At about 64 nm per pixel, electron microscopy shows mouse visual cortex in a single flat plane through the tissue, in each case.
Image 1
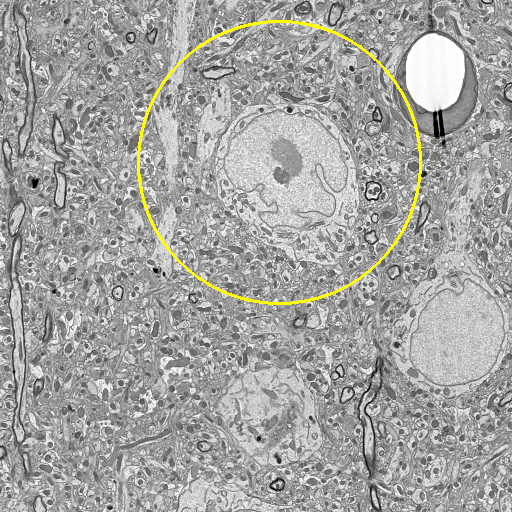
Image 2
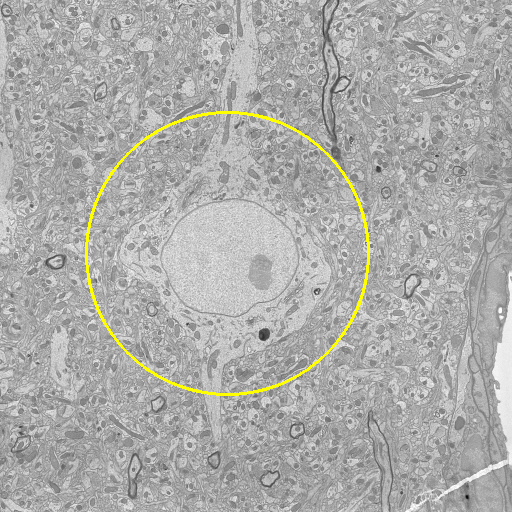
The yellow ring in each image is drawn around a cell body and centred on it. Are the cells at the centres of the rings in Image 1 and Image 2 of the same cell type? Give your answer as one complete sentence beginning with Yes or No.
No, the two cells are of two separate types.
